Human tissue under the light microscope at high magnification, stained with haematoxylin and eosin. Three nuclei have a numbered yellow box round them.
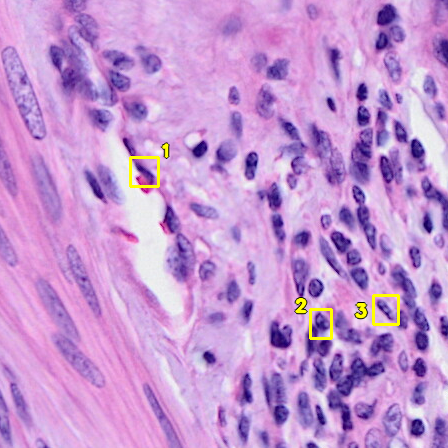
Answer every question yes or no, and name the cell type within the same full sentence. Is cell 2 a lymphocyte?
Yes, number 2 marks a cell that is a lymphocyte.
